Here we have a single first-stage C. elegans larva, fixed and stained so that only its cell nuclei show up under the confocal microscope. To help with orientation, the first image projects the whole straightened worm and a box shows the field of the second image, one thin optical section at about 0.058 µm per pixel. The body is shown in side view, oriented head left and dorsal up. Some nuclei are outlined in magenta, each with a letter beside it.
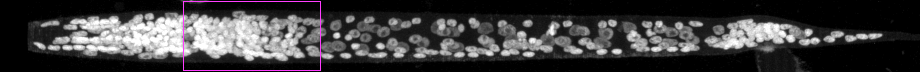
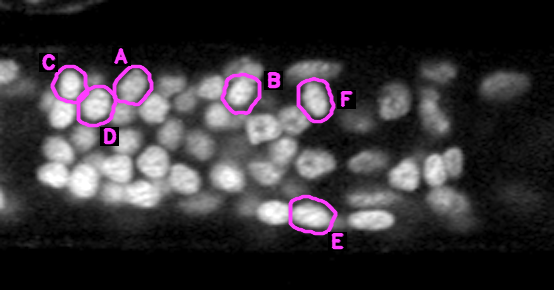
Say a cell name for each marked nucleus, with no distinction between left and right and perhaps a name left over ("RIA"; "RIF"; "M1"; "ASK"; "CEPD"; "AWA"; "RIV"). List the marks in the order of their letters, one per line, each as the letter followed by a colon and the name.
A: ASK
B: RIV
C: CEPD
D: RIA
E: RIF
F: M1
